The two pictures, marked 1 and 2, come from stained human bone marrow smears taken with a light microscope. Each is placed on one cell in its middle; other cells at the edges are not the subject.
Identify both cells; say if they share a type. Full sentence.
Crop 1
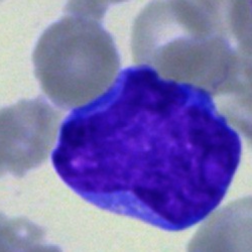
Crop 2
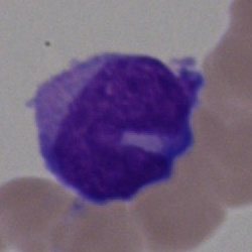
No, crop 1 contains a blast, while crop 2 contains a monocyte.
